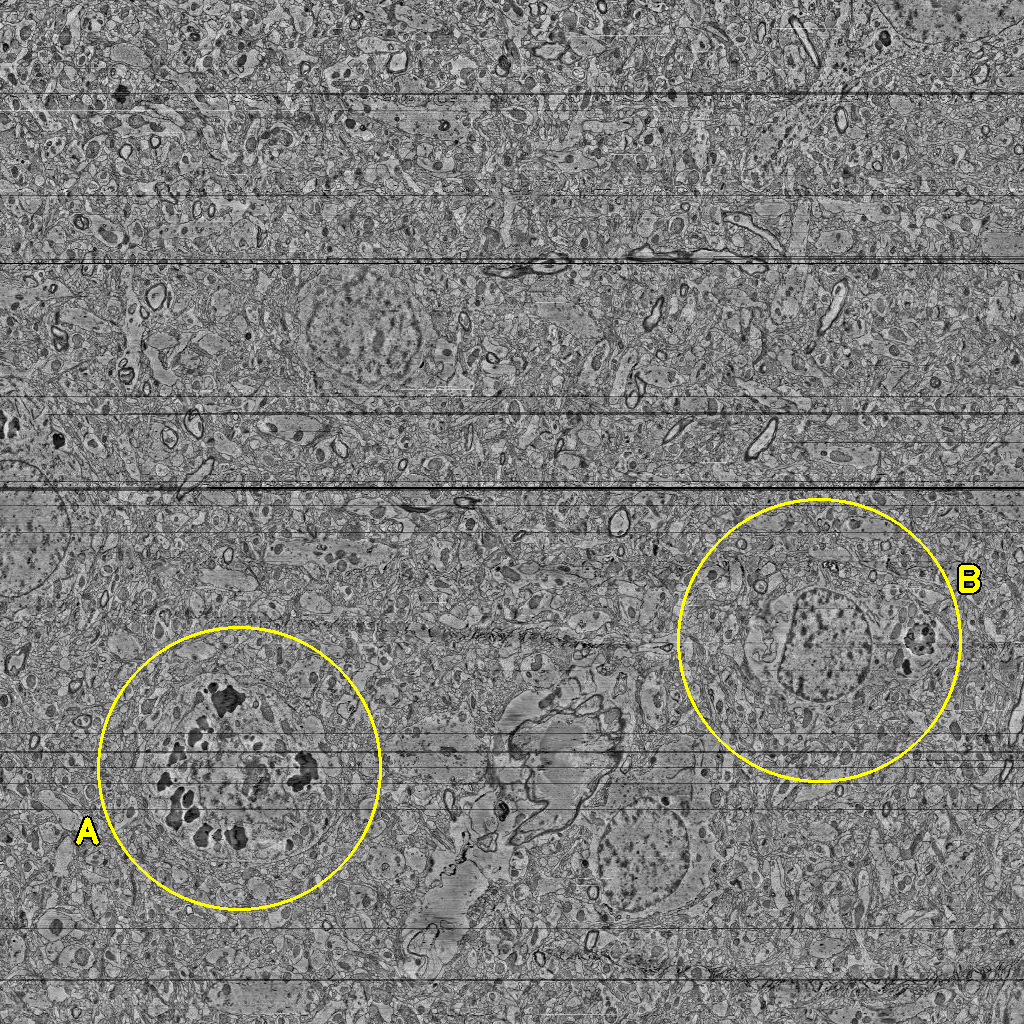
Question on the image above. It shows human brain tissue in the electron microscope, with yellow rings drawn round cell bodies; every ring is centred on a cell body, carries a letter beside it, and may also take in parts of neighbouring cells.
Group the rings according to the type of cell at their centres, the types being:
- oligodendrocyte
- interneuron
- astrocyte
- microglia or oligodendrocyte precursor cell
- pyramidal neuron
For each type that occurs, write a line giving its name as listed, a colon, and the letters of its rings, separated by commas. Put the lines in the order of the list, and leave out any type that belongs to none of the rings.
interneuron: A
astrocyte: B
